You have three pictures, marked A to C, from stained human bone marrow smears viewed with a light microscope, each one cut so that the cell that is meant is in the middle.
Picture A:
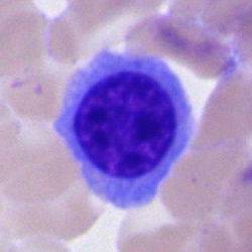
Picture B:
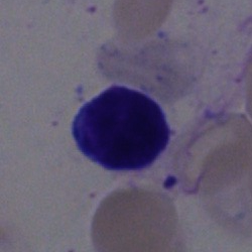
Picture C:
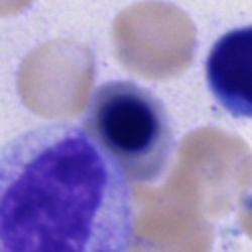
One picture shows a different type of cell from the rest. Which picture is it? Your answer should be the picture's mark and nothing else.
B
